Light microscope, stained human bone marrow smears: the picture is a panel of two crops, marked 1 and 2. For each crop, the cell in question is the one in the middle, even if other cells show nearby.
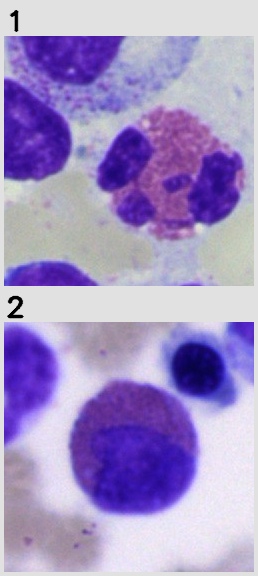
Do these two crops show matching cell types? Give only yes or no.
yes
